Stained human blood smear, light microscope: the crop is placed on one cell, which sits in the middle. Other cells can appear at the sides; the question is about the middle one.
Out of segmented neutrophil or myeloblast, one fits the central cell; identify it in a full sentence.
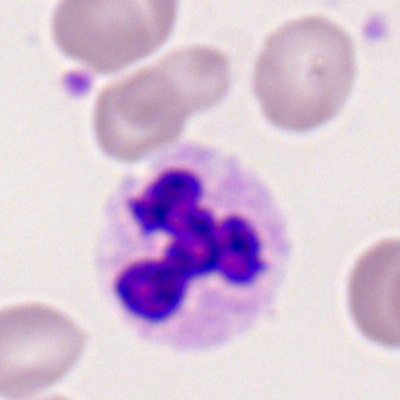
Among the cells in view, the one in the middle is a segmented neutrophil.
